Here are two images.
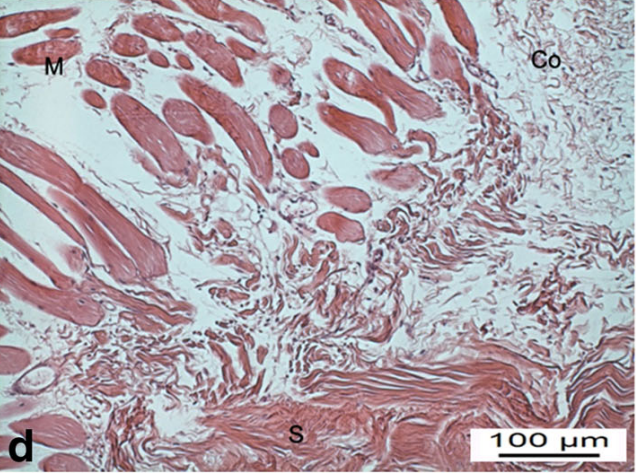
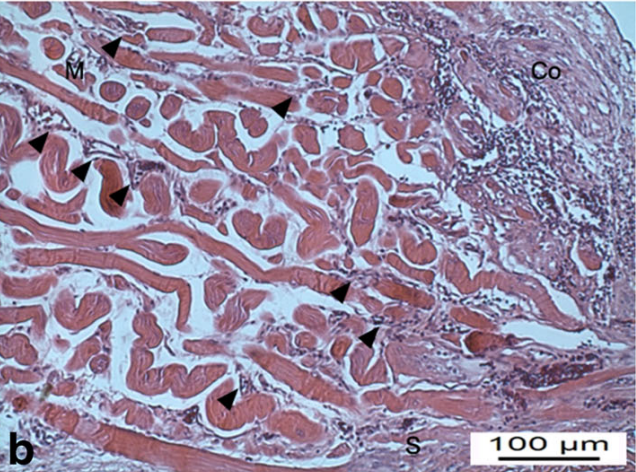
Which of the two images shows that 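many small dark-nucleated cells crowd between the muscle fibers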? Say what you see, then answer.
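The second image. First image: the spaces between the muscle fibers hold loose pale fibers and few nuclei. Second image: dense clusters of small dark purple nuclei fill the tissue between the fibers, especially toward the upper right.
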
